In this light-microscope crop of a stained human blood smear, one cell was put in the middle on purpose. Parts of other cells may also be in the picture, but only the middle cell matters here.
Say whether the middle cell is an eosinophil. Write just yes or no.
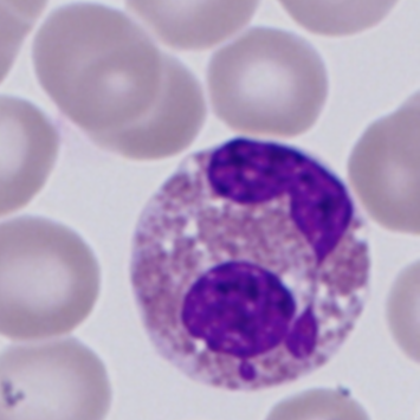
yes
